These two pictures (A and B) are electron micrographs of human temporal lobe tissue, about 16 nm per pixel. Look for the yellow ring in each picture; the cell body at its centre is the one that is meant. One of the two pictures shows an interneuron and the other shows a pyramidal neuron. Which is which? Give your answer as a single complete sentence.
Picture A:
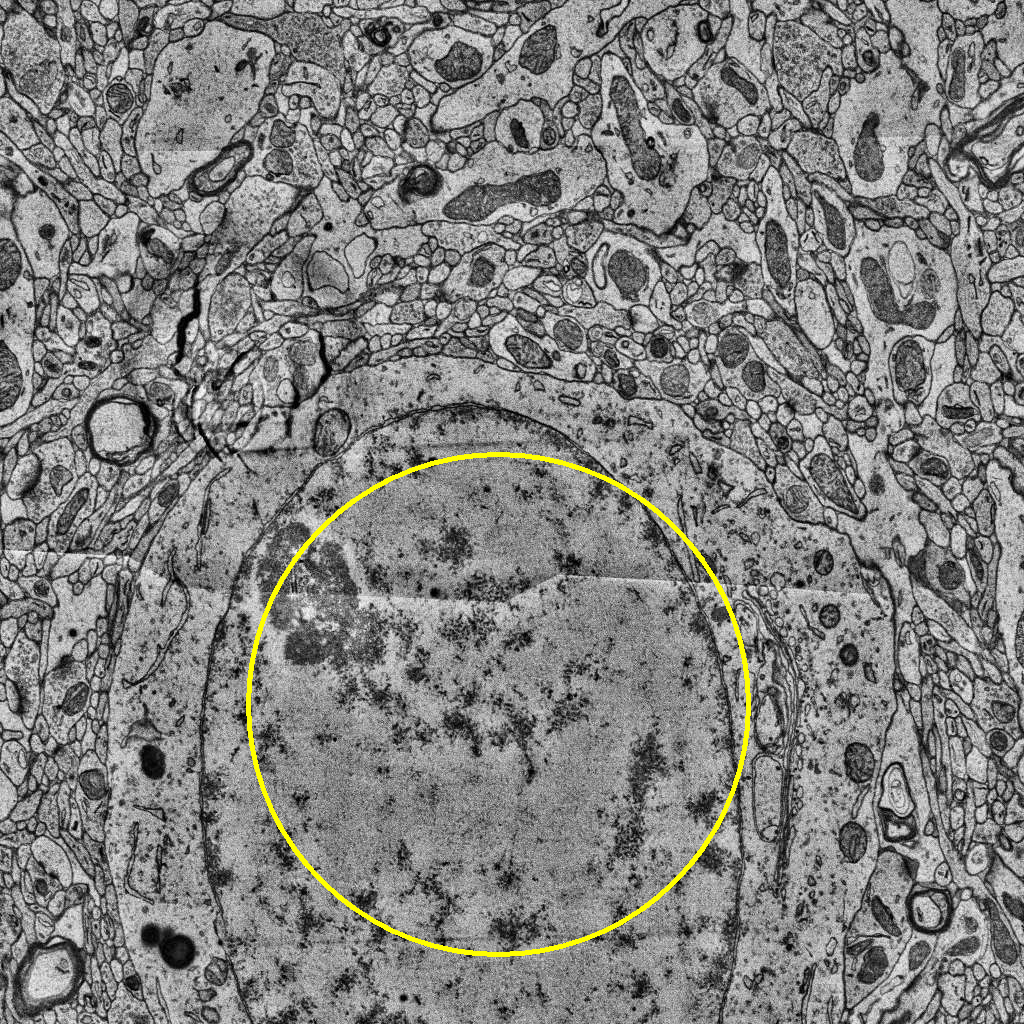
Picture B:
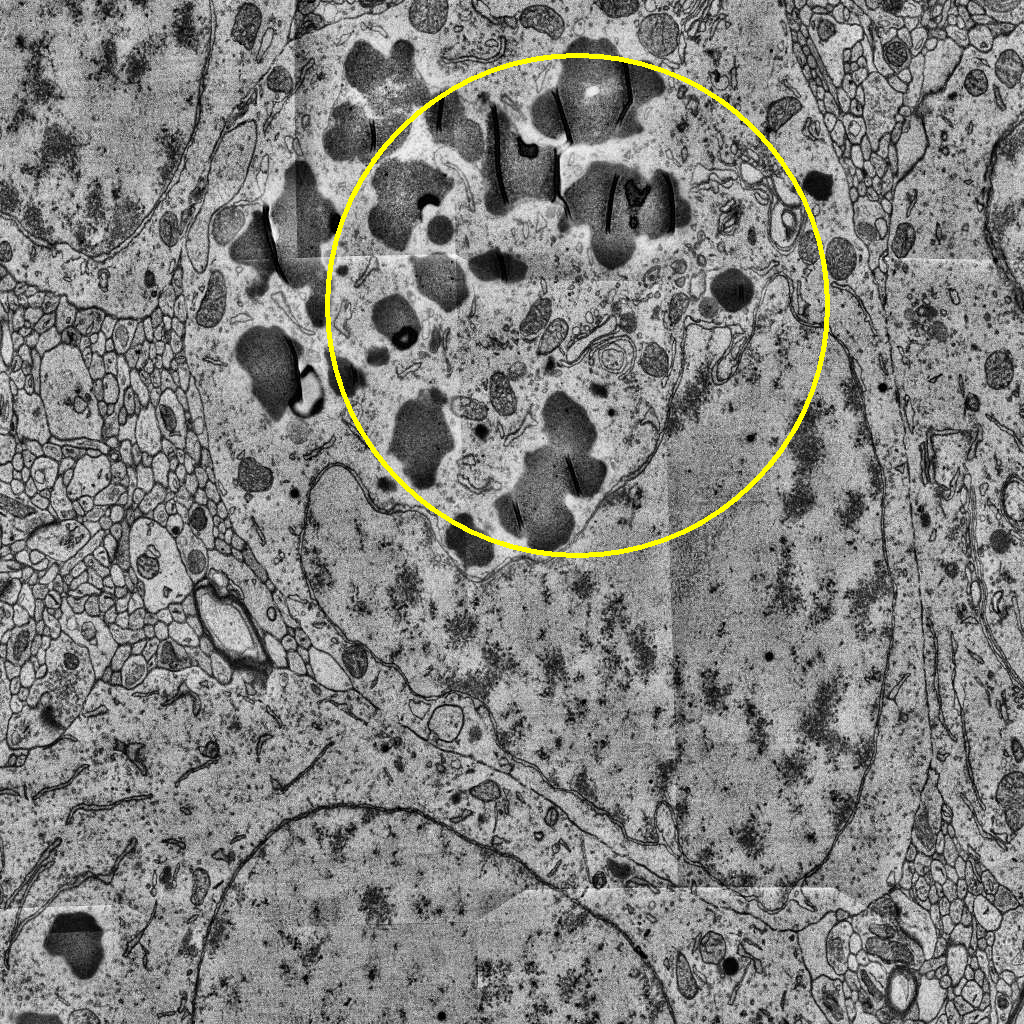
Picture A shows a pyramidal neuron and picture B shows an interneuron.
